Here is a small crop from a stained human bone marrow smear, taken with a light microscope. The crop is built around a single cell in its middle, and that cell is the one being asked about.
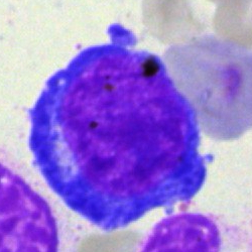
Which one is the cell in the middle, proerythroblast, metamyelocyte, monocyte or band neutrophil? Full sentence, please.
The middle of this crop holds a proerythroblast.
